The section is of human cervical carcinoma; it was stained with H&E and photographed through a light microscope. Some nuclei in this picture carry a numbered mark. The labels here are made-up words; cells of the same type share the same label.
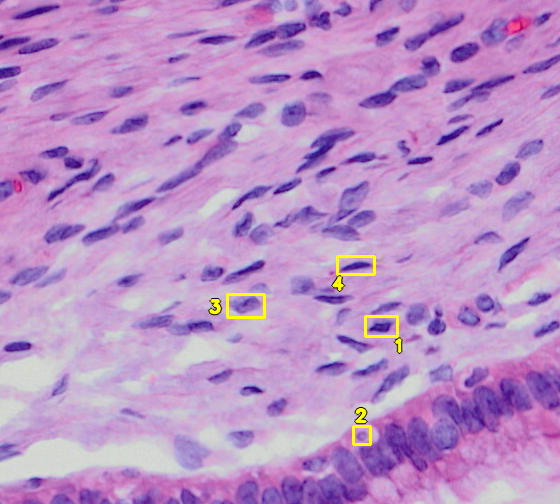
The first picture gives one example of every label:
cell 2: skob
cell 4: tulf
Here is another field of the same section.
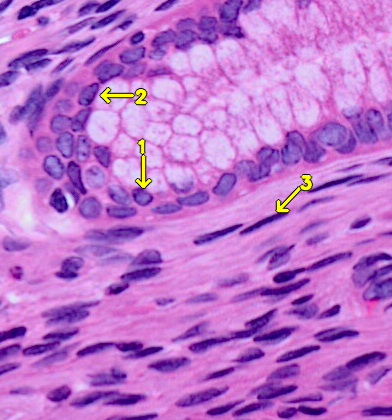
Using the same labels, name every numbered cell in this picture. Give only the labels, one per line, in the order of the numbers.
skob
skob
tulf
